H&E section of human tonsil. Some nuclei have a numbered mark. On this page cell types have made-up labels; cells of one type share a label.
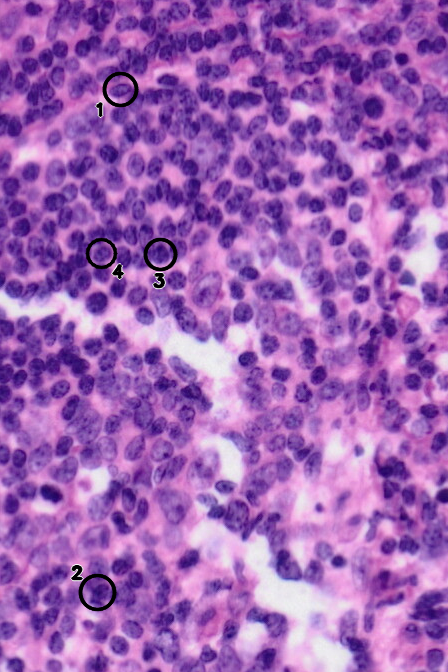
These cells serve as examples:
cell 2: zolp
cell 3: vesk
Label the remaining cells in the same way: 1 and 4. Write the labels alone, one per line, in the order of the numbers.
vesk
vesk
